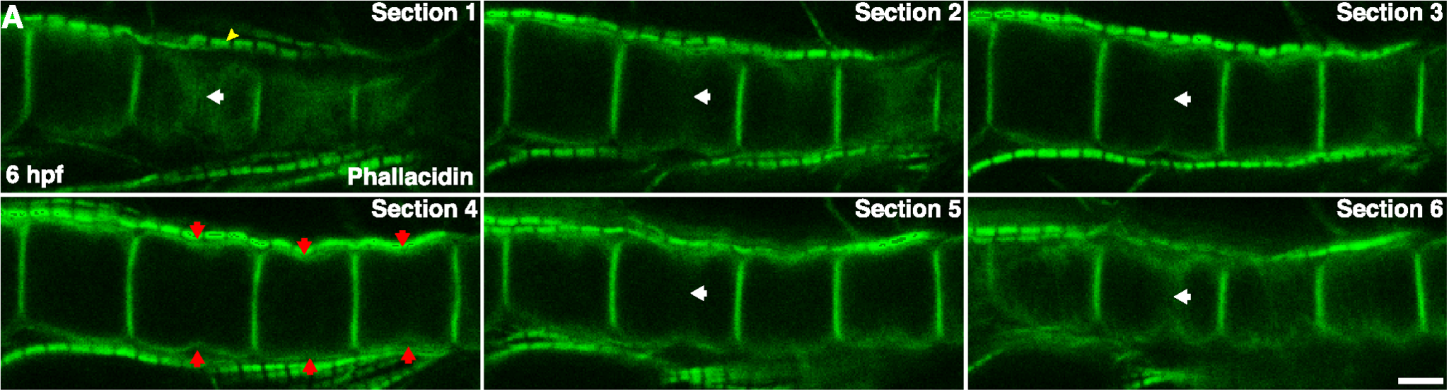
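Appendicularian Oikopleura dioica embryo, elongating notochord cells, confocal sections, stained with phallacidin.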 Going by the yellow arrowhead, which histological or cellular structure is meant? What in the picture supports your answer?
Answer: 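Actin filaments in muscle sarcomeres. The yellow arrowhead points to a bright green band of regularly repeating short segments. The band runs along the outside of the row of cells.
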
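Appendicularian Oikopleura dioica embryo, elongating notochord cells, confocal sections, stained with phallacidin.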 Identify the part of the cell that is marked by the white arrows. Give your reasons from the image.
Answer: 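The white arrows point to faint green bands running across the middle of the cells. The bands lie about midway between the bright transverse cell boundaries.
Actin ring.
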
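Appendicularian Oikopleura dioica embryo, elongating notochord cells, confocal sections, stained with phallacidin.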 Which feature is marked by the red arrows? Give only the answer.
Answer: equatorial constriction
